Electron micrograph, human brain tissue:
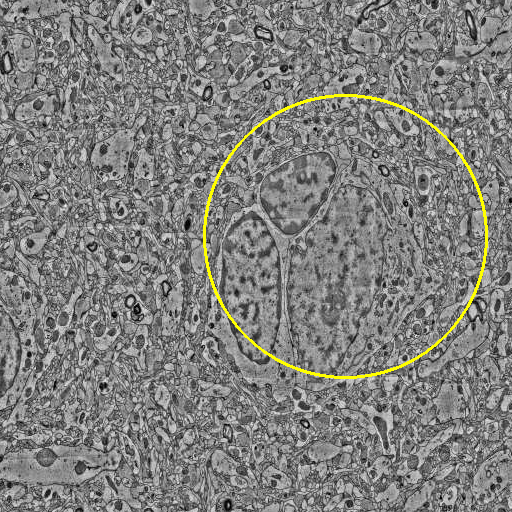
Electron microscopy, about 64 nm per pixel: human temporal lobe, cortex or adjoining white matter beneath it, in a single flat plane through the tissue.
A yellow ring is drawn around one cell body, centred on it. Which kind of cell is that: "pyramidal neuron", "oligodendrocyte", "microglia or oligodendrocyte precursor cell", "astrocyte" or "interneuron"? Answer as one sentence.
It is an interneuron at the centre of the ring.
